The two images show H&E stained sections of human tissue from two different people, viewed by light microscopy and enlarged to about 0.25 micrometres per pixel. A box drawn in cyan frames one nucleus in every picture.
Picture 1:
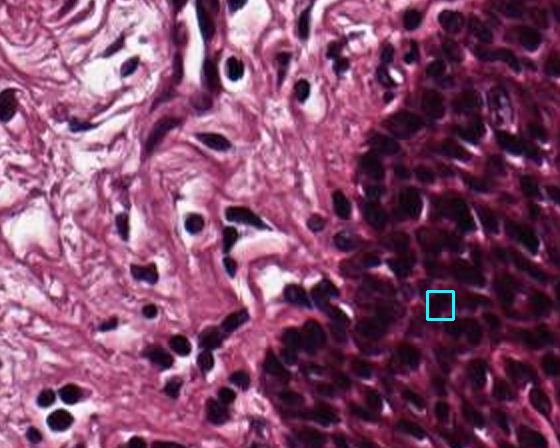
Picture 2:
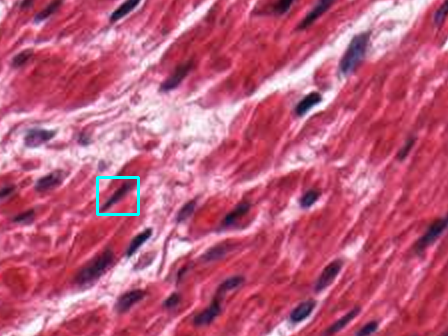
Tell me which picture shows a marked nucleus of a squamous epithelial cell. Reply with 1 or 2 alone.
1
